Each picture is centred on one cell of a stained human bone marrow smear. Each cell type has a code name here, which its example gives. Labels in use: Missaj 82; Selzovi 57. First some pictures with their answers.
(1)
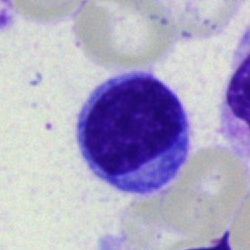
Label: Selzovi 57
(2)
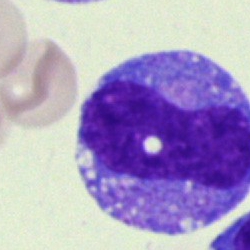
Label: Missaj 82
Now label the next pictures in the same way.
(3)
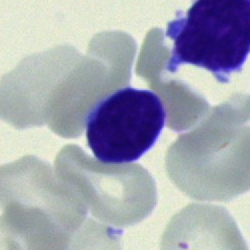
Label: Selzovi 57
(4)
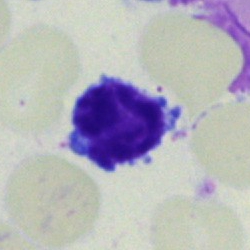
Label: Selzovi 57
